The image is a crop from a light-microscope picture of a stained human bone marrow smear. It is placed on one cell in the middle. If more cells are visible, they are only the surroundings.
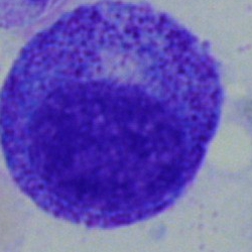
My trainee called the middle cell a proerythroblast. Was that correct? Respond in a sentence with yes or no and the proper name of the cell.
No, the centre of the crop is taken up by a promyelocyte, not a proerythroblast.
